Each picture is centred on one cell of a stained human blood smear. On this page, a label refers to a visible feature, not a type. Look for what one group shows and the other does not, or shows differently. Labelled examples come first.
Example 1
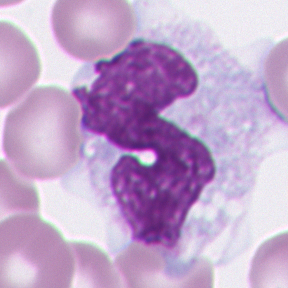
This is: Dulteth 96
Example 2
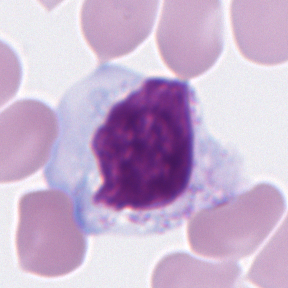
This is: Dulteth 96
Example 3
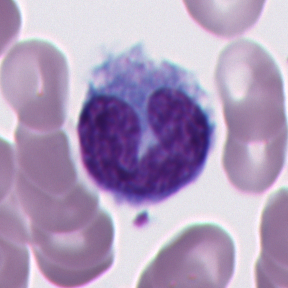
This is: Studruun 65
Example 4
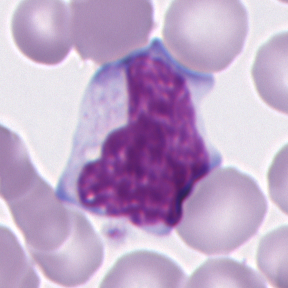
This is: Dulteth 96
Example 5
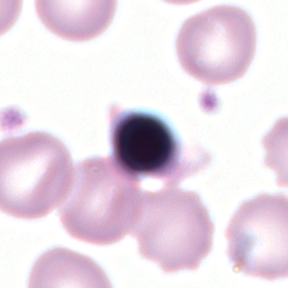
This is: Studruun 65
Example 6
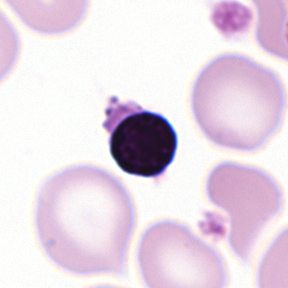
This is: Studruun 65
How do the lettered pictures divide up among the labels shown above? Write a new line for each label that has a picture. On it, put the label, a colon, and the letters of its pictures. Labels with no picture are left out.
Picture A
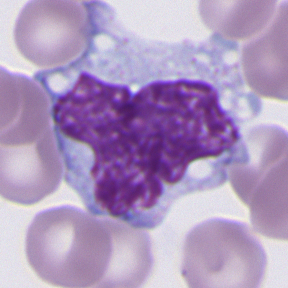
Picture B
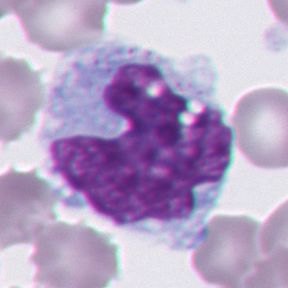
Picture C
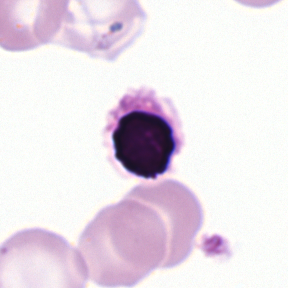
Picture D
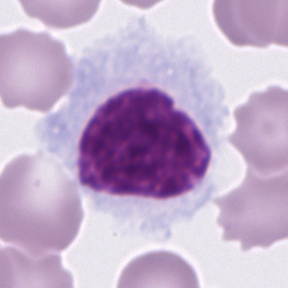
Dulteth 96: A, B, D
Studruun 65: C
